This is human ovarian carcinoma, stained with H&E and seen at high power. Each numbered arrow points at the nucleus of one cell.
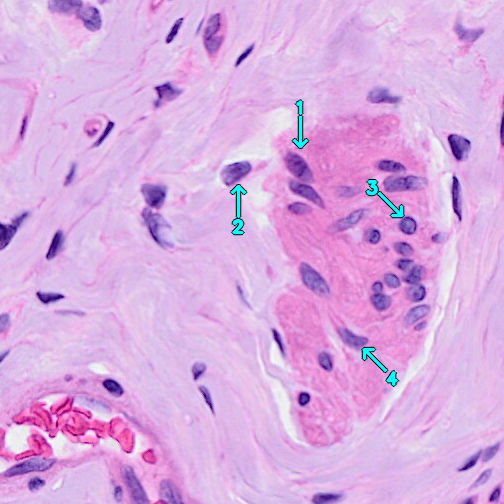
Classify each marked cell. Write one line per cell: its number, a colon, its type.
1: smooth muscle cell
2: fibroblast
3: smooth muscle cell
4: smooth muscle cell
